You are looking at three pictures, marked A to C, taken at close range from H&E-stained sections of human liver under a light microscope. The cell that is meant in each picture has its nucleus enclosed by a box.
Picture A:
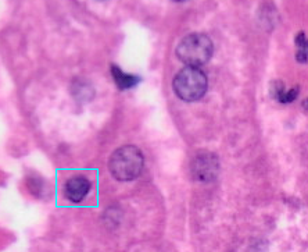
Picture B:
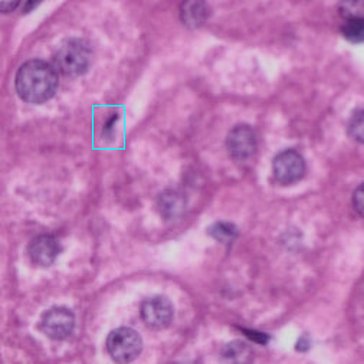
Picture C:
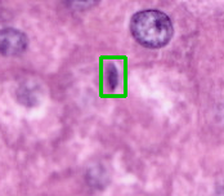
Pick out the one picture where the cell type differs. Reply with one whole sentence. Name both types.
Unlike the rest, which show endothelial cells, picture A shows a “fibroblast or stellate cell”.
